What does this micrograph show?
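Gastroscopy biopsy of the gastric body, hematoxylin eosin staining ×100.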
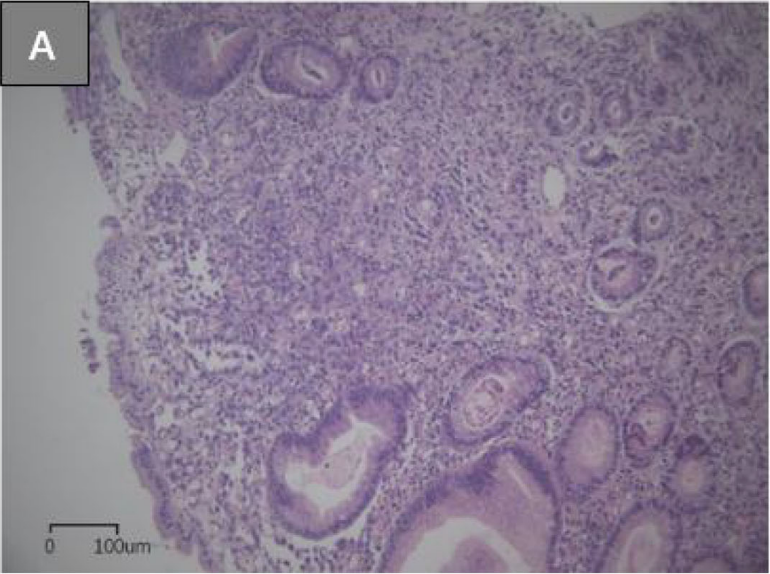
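This is stomach lining seen at low power, with a columnar surface epithelium along the left edge and glands scattered through the tissue below it. The glands are cut mostly across, so they appear as rings or elongated loops lined by tall columnar cells. Their nuclei are purple and sit toward the base, and the cytoplasm toward the lumen is pale. Between the glands, the tissue is crowded with small cells that have dark purple nuclei and little cytoplasm. These cells lie in sheets and patches rather than in an orderly loose stroma. The glands are spaced unevenly and vary in size and shape.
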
